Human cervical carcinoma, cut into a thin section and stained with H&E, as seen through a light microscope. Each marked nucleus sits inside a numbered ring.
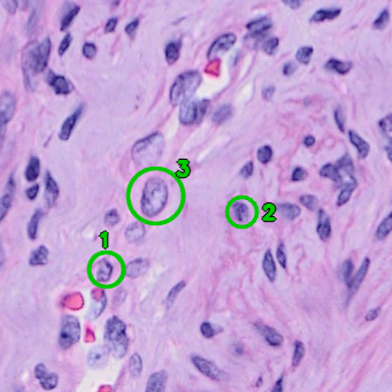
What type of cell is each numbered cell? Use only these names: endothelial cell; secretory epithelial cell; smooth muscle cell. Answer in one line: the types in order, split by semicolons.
endothelial cell; smooth muscle cell; endothelial cell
